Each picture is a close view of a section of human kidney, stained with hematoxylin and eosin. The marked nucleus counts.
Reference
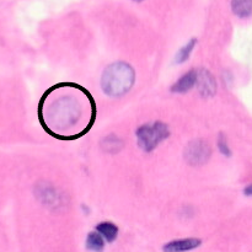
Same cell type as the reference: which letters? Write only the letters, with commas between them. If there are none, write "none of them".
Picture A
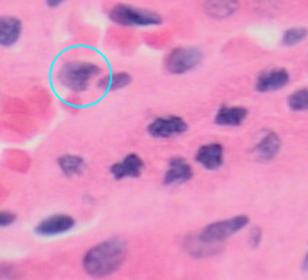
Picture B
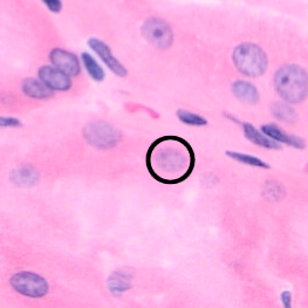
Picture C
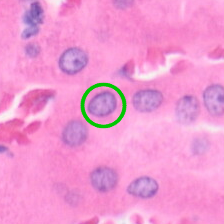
B, C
